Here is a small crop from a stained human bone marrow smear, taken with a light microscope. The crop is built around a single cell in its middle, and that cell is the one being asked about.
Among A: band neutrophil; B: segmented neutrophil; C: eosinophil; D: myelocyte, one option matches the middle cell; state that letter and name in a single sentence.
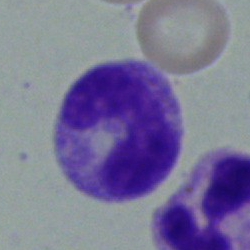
Of the choices given, option A is right, as the central cell is a band neutrophil.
